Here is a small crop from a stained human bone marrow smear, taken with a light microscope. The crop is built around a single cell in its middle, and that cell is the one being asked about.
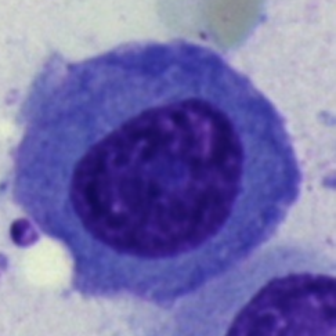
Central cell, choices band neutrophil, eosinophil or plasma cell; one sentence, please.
The target cell in the middle of the crop is a plasma cell.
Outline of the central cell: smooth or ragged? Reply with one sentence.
The cell membrane follows an uneven contour, either ragged or bearing projections.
